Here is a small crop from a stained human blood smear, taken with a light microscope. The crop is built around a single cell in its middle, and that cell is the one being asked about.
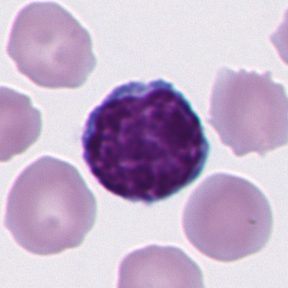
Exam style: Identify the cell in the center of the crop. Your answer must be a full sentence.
The cell occupying the middle of the crop is a lymphocyte.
